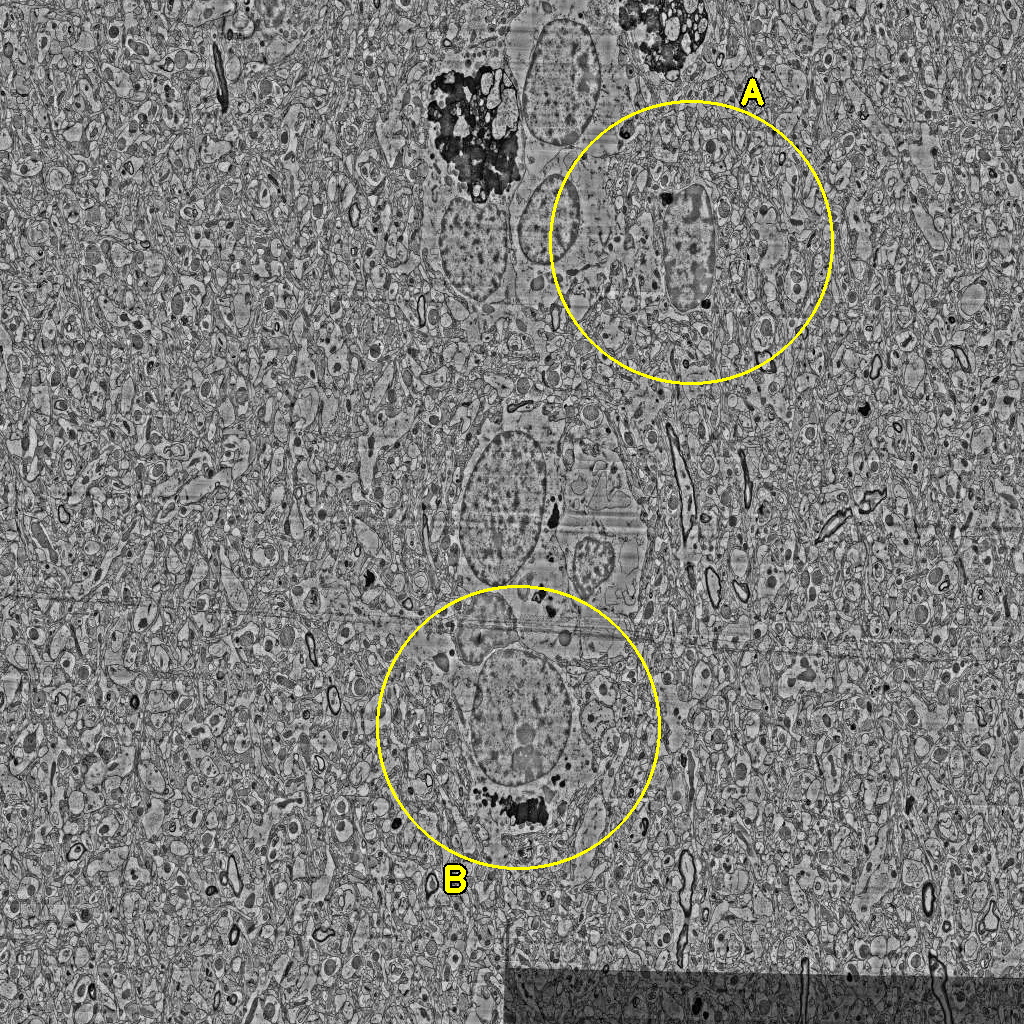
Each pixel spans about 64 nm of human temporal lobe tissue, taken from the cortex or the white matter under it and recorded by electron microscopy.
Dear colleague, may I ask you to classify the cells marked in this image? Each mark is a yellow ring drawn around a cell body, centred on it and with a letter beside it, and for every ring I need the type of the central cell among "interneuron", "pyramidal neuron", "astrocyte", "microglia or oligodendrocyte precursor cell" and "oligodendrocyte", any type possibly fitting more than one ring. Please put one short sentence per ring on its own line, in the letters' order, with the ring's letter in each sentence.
Ring A contains a microglial cell or oligodendrocyte precursor cell at its centre.
Ring B contains an astrocyte at its centre.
